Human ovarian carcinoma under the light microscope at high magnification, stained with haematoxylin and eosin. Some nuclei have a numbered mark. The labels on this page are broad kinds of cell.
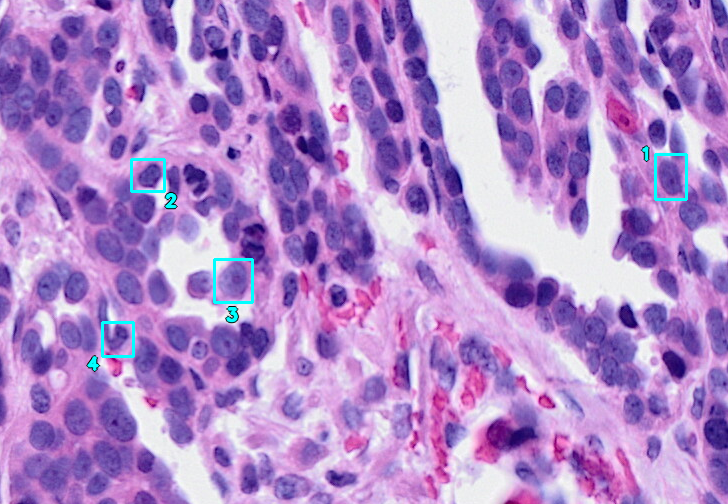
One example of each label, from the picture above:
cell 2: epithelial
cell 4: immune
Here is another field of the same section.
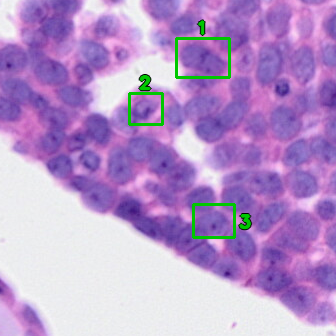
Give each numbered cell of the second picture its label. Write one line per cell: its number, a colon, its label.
1: epithelial
2: immune
3: epithelial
